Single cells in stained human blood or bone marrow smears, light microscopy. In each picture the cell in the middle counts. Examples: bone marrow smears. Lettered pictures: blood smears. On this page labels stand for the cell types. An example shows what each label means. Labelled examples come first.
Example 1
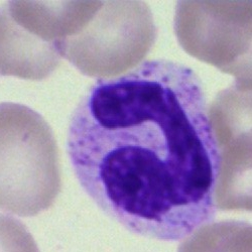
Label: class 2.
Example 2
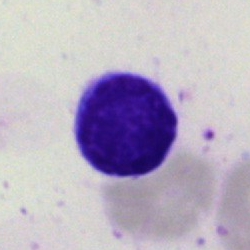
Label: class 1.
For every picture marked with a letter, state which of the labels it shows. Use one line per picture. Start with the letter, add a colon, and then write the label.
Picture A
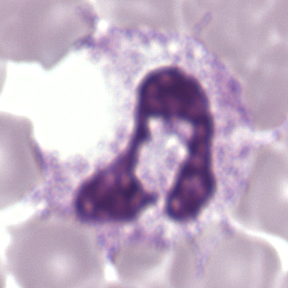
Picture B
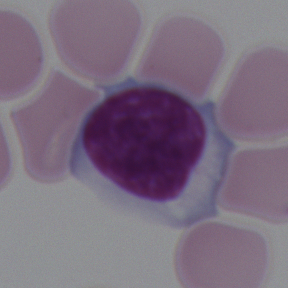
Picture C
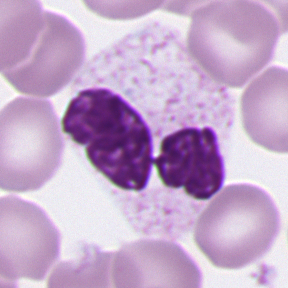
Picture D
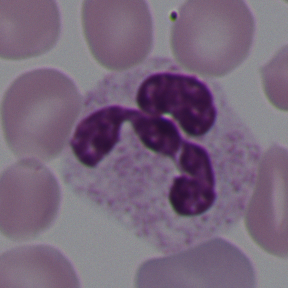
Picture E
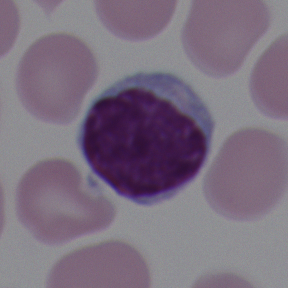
A: class 2.
B: class 1.
C: class 2.
D: class 2.
E: class 1.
